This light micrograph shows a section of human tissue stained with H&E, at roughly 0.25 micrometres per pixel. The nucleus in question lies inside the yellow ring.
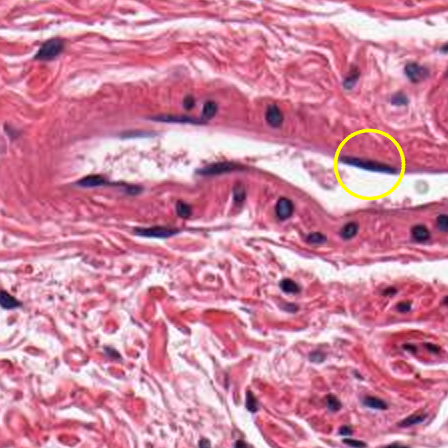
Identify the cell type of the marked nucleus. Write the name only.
endothelial cell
